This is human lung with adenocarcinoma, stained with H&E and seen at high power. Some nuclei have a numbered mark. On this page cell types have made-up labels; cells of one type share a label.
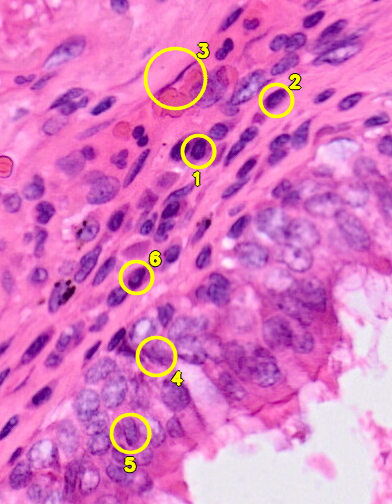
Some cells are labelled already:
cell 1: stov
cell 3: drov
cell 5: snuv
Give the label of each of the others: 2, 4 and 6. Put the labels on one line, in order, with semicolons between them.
stov; snuv; stov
